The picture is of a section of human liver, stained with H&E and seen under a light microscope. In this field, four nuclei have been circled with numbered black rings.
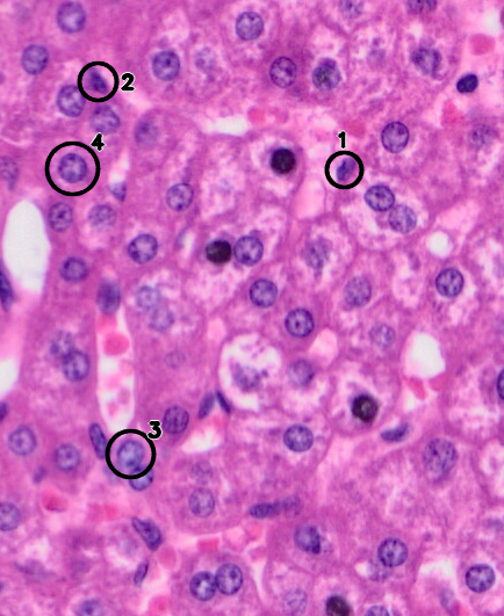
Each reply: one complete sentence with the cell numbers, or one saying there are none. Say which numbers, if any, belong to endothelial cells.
There is just one numbered cell that is an endothelial cell, and it is cell 1.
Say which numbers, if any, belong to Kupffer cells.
The tally for Kupffer cells among the numbered cells is zero.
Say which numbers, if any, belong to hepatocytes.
Just one numbered cell is a hepatocyte, and that cell is number 4.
